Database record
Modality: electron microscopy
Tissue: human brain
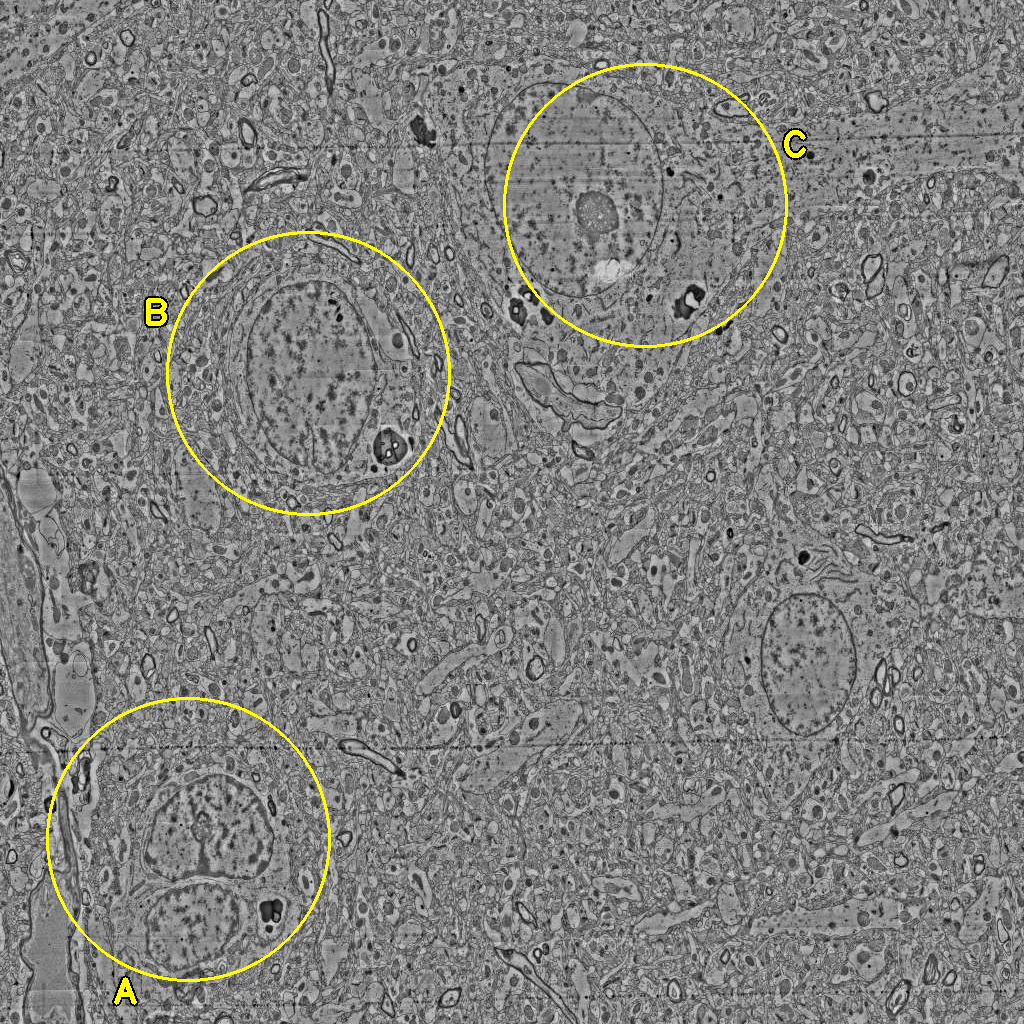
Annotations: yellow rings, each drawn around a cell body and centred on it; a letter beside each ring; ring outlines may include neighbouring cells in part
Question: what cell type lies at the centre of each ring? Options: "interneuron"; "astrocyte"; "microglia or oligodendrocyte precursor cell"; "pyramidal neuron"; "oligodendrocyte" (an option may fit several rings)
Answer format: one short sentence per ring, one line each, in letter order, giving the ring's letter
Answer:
Ring A corresponds to a microglial cell or oligodendrocyte precursor cell.
Ring B corresponds to an interneuron.
Ring C corresponds to a pyramidal neuron.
